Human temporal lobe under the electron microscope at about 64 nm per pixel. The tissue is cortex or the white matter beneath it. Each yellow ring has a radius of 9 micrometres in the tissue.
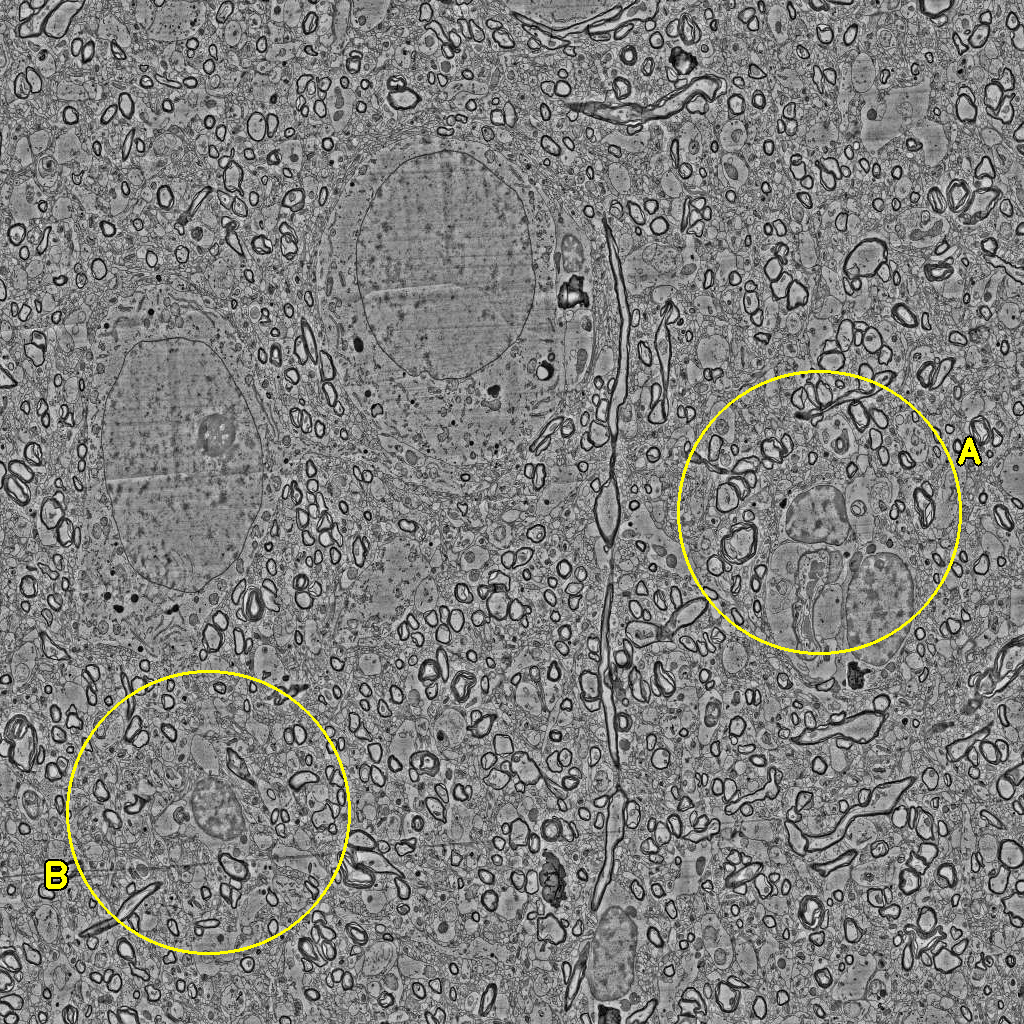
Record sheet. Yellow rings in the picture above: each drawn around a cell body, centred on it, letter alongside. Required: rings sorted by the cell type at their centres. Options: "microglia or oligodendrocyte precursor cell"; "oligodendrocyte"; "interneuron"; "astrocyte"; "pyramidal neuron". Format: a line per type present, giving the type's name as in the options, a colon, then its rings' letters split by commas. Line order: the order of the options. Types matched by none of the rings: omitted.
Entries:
microglia or oligodendrocyte precursor cell: A
oligodendrocyte: B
